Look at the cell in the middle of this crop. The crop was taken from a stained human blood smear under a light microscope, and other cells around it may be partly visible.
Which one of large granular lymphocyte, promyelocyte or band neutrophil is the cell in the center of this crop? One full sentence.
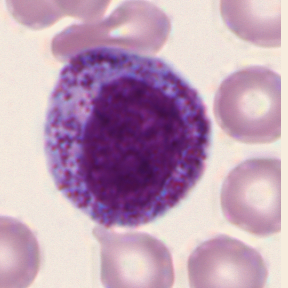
By classification, the middle cell of this crop is a promyelocyte.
